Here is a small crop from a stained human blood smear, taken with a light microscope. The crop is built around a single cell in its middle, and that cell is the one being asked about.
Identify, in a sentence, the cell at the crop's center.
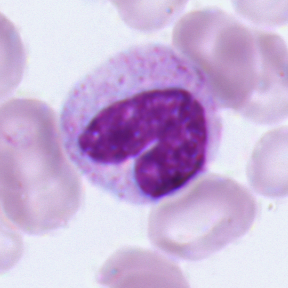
The middle cell in this particular crop is a band neutrophil.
